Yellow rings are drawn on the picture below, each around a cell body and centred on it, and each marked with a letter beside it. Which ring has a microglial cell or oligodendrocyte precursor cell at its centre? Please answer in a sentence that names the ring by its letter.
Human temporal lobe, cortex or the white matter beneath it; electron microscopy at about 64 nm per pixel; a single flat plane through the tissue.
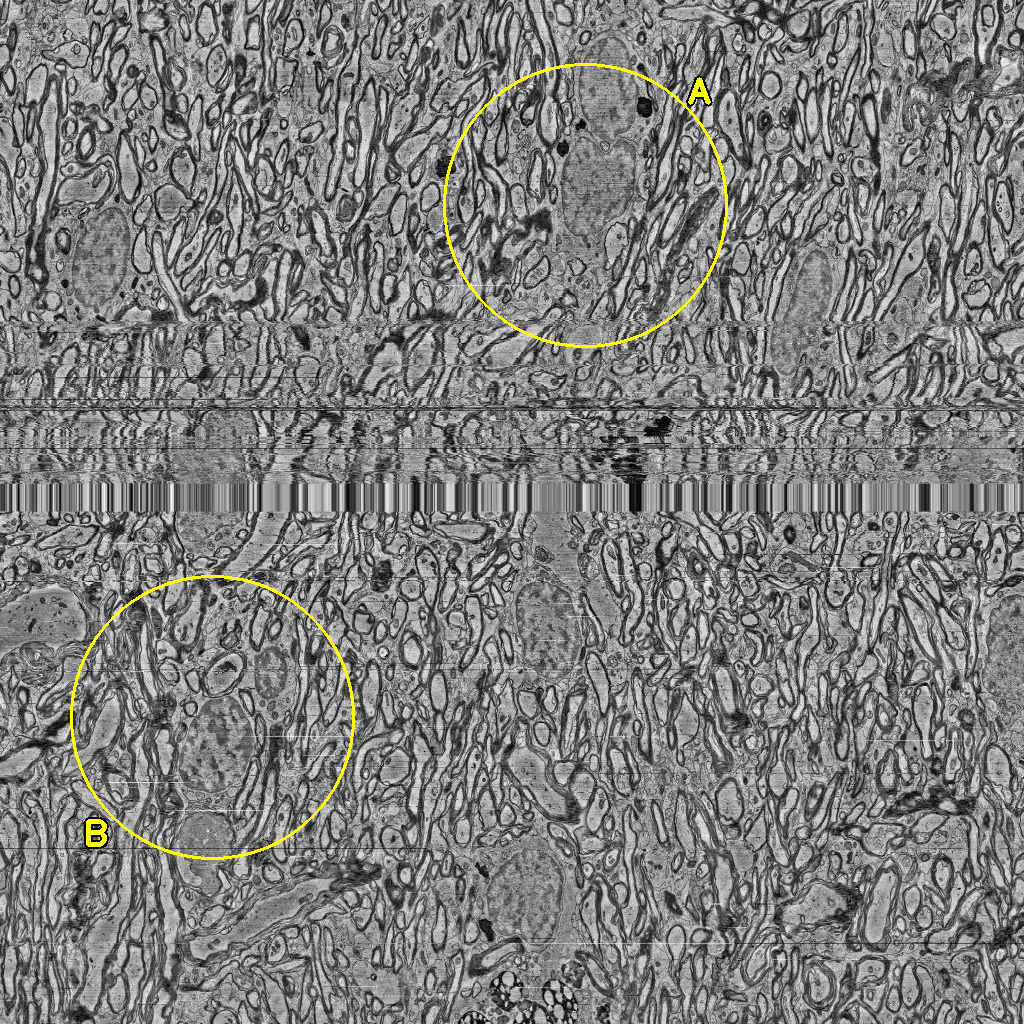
That is ring B.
